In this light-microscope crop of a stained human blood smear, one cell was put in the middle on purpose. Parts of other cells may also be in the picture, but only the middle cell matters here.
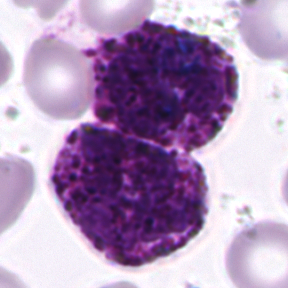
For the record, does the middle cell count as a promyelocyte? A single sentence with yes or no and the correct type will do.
No, not a promyelocyte here; the centered cell is a basophil.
